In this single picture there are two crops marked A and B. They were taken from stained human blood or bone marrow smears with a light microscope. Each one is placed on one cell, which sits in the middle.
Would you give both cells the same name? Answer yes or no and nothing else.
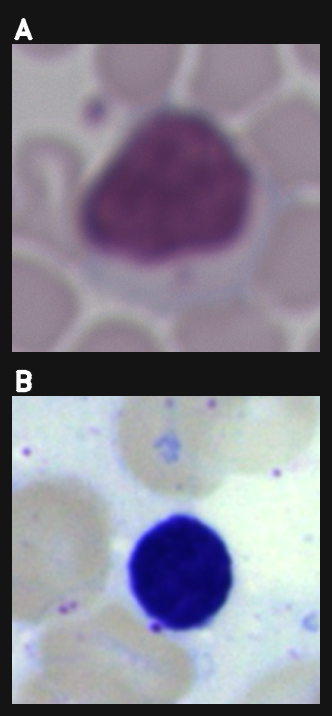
yes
